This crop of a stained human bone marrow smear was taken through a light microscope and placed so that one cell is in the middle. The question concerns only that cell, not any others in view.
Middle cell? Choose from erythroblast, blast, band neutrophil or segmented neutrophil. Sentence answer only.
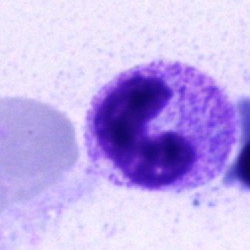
The cell at the heart of this crop is a band neutrophil.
